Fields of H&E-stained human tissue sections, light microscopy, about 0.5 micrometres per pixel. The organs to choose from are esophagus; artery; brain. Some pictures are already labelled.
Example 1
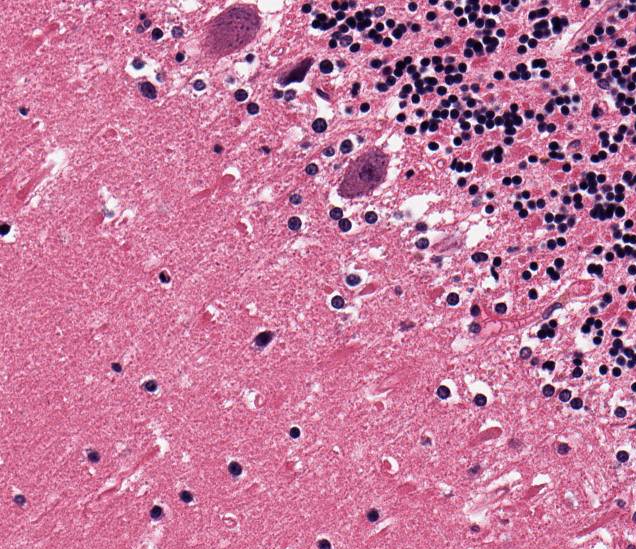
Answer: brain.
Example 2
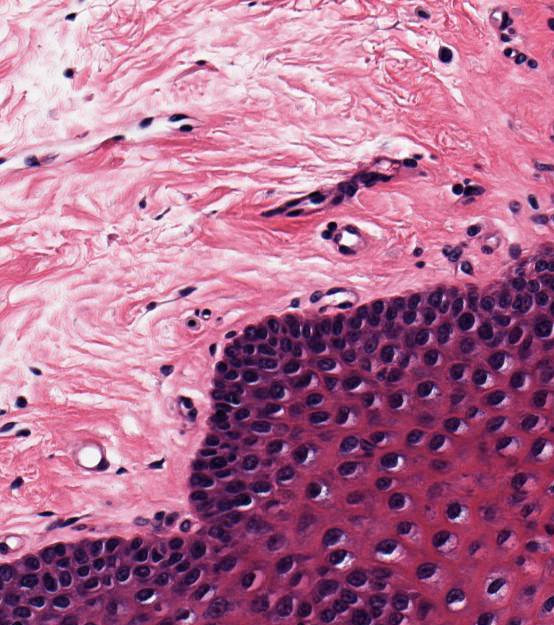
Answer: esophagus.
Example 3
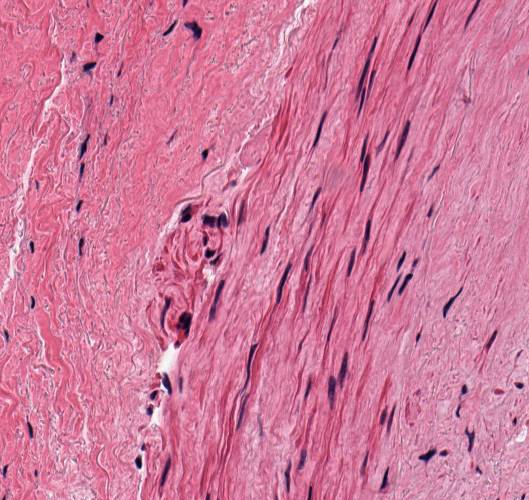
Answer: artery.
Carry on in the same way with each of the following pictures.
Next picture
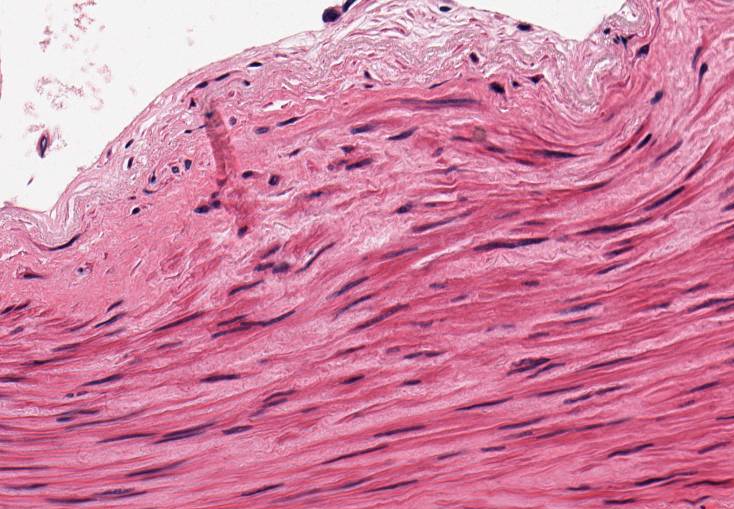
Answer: artery.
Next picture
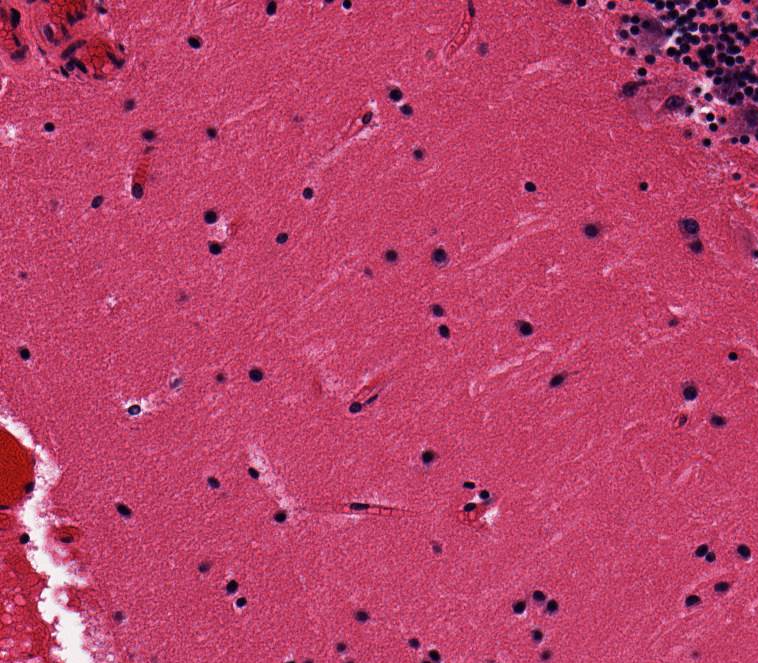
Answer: brain.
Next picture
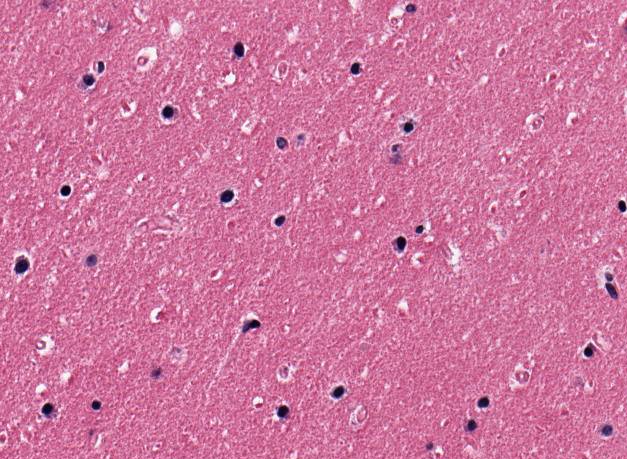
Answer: brain.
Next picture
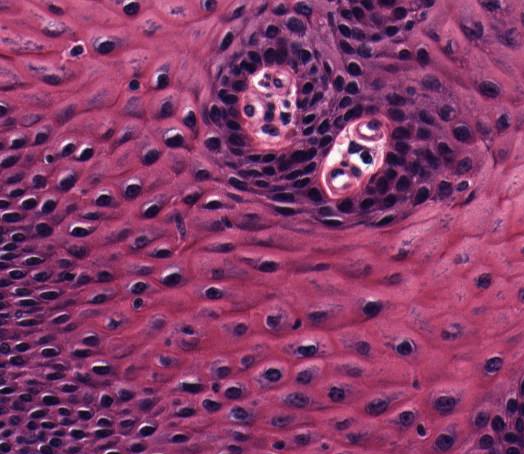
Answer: esophagus.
